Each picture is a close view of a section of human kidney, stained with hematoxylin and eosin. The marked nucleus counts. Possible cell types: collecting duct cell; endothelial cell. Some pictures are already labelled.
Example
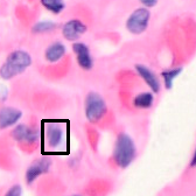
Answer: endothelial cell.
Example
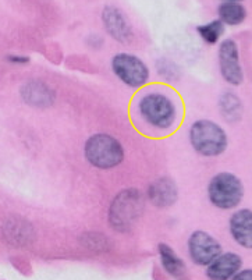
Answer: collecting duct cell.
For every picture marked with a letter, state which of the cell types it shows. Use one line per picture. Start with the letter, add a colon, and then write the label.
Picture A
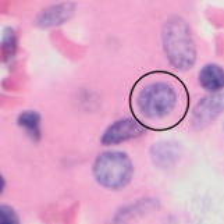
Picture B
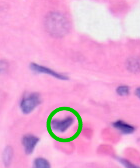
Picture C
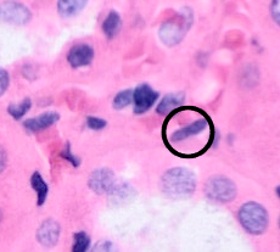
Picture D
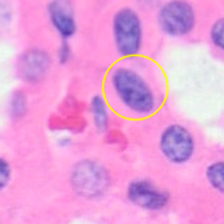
A: collecting duct cell.
B: endothelial cell.
C: endothelial cell.
D: collecting duct cell.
